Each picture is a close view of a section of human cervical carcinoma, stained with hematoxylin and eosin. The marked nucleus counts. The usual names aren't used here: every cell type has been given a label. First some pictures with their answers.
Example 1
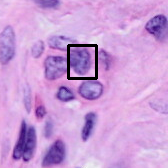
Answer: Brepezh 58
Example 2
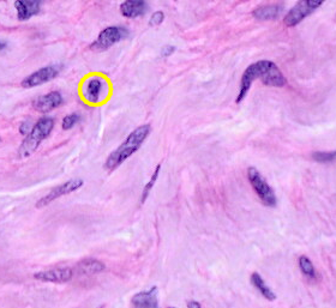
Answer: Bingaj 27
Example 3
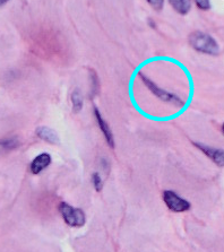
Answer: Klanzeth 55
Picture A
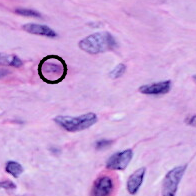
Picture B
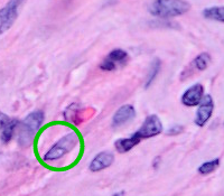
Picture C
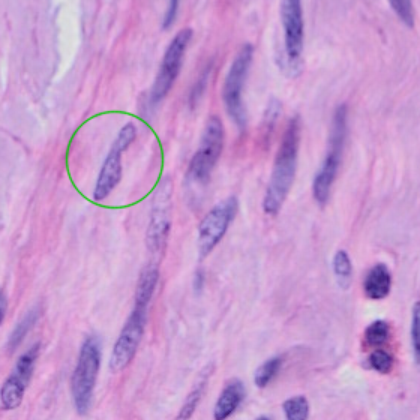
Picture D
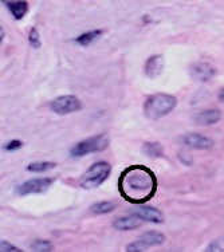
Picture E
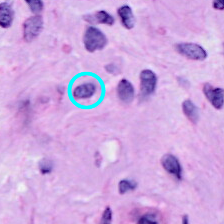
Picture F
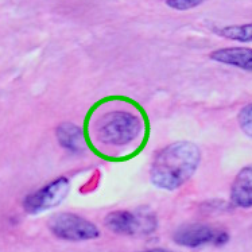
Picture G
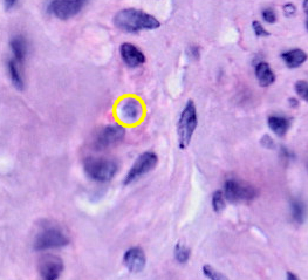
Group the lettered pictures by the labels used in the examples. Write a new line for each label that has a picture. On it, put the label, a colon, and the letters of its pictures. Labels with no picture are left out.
Brepezh 58: B, F, G
Bingaj 27: A, C, D
Klanzeth 55: E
